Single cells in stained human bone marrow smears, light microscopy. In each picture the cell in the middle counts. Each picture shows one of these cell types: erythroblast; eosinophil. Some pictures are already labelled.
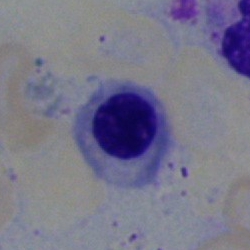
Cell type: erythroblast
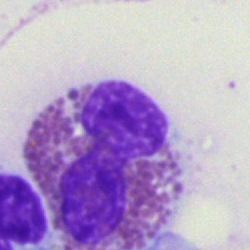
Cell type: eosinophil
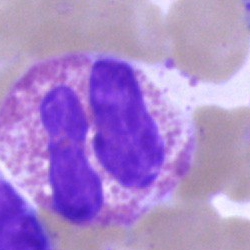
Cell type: eosinophil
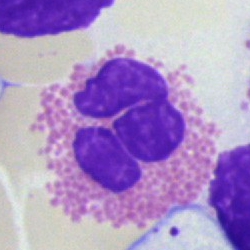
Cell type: eosinophil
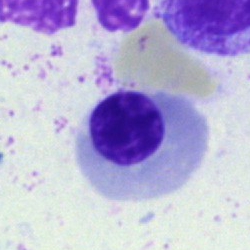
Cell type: erythroblast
